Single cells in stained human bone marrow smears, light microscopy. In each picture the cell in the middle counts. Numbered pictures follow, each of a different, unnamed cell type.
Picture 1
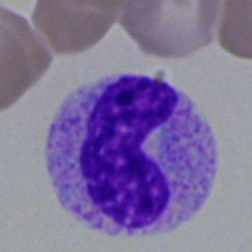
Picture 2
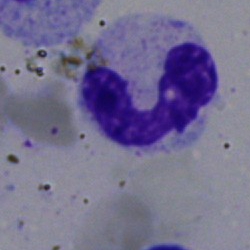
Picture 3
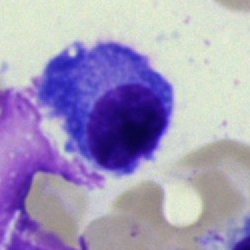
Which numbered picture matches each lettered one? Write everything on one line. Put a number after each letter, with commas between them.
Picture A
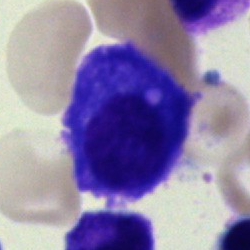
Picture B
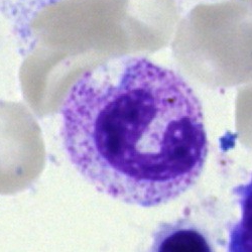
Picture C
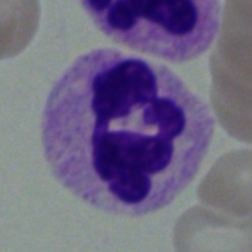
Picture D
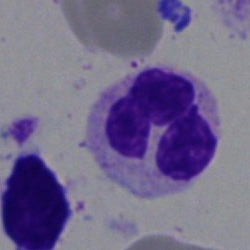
A 3, B 1, C 2, D 2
